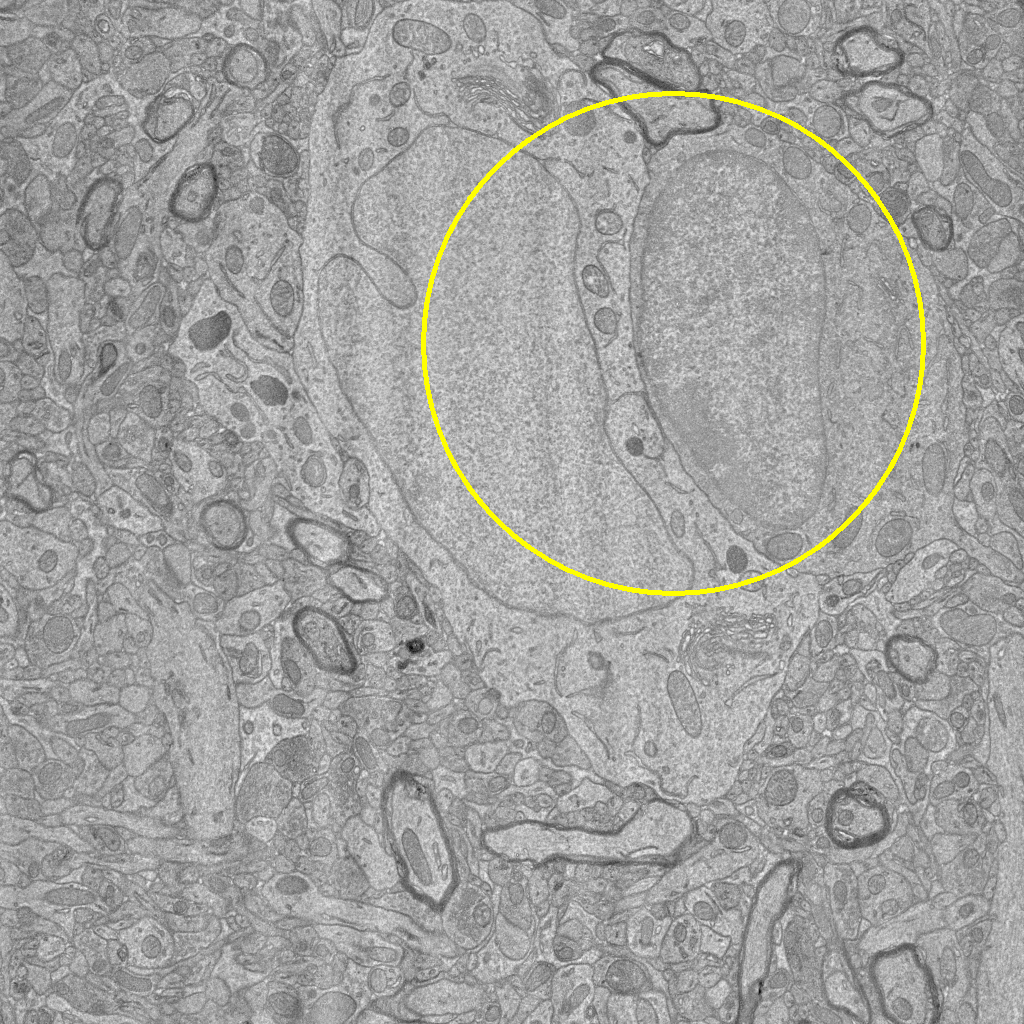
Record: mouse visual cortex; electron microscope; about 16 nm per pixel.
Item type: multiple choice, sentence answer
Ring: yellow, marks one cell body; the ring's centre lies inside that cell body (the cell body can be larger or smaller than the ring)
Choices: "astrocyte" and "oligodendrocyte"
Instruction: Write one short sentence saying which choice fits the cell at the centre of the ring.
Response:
The centre of this ring lies on an oligodendrocyte.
